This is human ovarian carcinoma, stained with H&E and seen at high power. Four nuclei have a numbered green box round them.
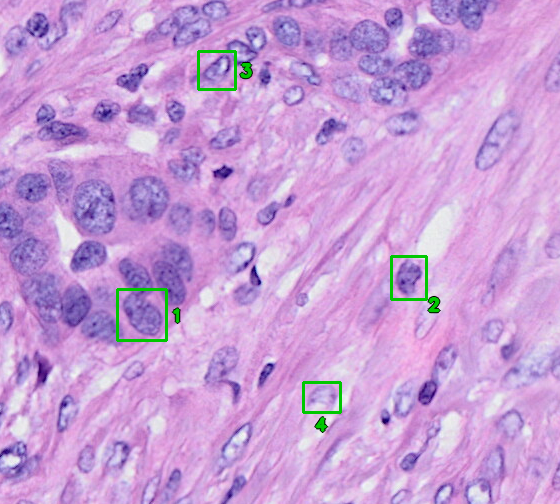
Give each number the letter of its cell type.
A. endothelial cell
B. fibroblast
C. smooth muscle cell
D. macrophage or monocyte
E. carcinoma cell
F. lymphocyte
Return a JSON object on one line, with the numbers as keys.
{"1": "E", "2": "D", "3": "B", "4": "B"}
